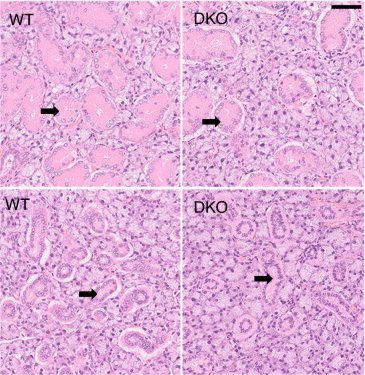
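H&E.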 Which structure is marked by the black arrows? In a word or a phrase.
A: Granular ducts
